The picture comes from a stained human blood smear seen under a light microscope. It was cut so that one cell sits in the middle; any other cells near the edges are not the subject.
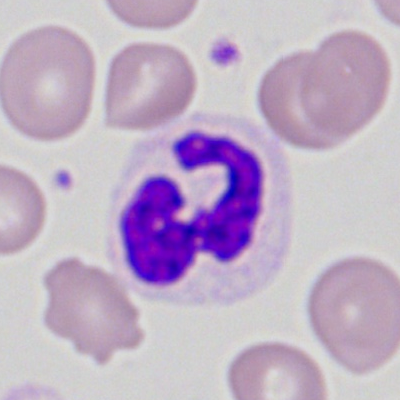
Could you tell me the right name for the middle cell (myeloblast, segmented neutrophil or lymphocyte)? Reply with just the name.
segmented neutrophil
